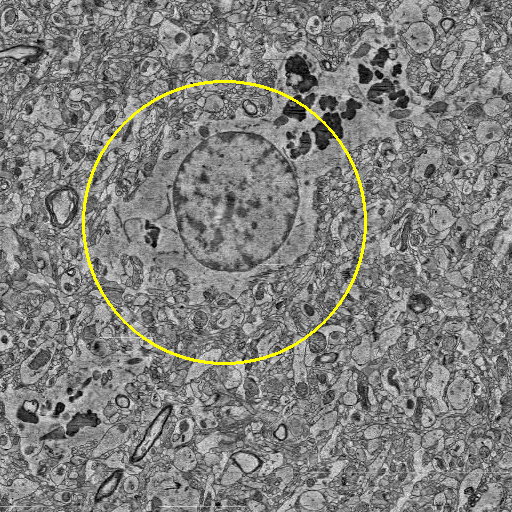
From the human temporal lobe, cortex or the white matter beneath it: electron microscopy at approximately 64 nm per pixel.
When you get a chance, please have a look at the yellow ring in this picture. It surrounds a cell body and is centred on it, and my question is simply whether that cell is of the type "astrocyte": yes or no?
Yes, the cell is of that type.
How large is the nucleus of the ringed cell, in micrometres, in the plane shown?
Approximately 9 x 8 micrometres in this plane.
